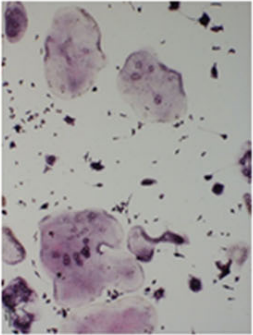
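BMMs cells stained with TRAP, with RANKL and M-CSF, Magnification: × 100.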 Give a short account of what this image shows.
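Culture with several large multinucleated osteoclasts, irregular in outline and stained pink-purple, their many nuclei visible within the spread cytoplasm. Around and between them lie numerous small mononuclear cells, spindle-shaped or with short processes, and a few small dark purple rounded cells.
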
